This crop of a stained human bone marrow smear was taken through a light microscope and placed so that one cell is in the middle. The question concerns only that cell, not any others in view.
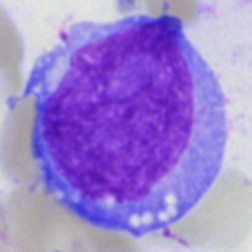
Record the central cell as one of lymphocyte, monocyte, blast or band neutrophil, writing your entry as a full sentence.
In the centre of this crop there is a blast.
